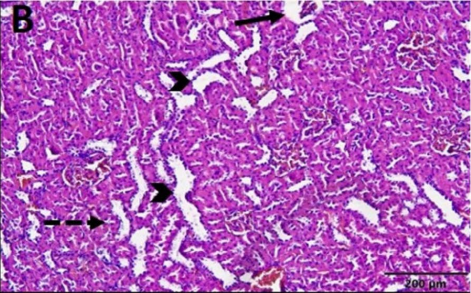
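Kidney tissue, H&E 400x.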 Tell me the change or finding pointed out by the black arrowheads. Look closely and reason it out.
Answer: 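The arrowheads point at wide, empty white tubular lumens. These lumens are broader than most others in the field. The lumens are lined by pink-staining epithelium.
Conclusion: tubular dilatation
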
